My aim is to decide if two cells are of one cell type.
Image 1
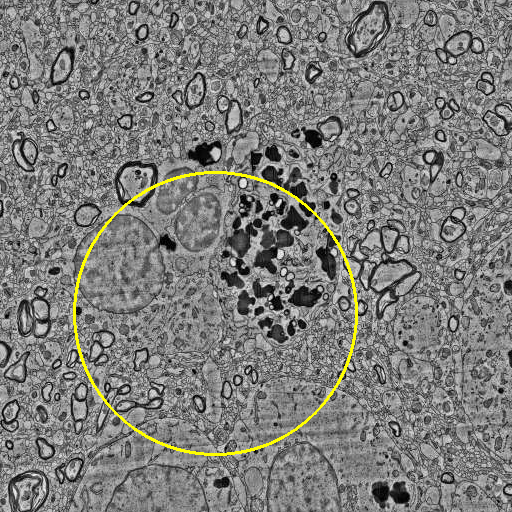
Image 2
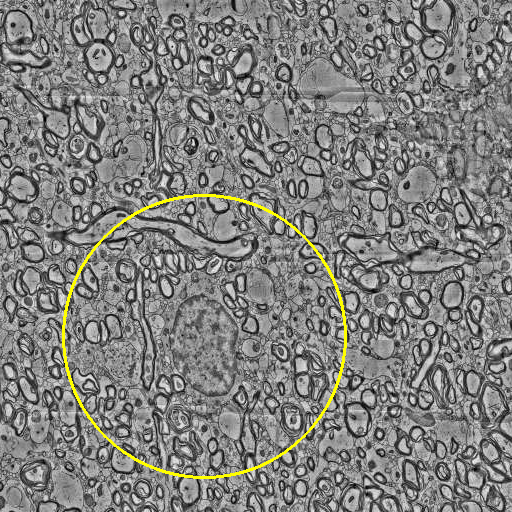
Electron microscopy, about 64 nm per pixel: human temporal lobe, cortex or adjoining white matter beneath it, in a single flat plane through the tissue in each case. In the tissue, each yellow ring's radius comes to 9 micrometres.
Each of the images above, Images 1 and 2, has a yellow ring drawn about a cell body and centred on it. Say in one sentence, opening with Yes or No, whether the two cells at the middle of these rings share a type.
Yes, in Images 1 and 2 the cells at the middle of the rings share one type.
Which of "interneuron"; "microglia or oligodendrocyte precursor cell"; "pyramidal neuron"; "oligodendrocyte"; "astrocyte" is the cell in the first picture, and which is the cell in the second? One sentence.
The ring centre holds an oligodendrocyte in each of the two pictures.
